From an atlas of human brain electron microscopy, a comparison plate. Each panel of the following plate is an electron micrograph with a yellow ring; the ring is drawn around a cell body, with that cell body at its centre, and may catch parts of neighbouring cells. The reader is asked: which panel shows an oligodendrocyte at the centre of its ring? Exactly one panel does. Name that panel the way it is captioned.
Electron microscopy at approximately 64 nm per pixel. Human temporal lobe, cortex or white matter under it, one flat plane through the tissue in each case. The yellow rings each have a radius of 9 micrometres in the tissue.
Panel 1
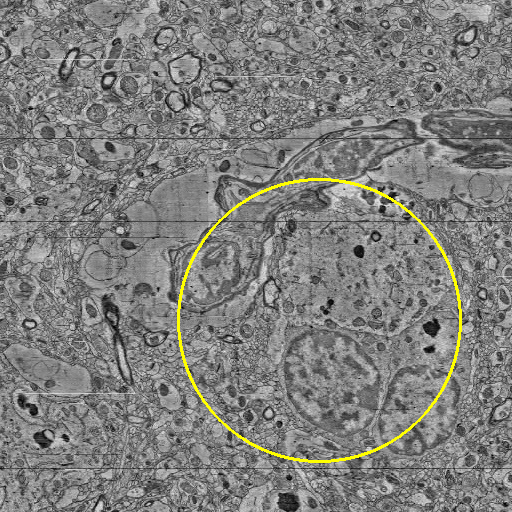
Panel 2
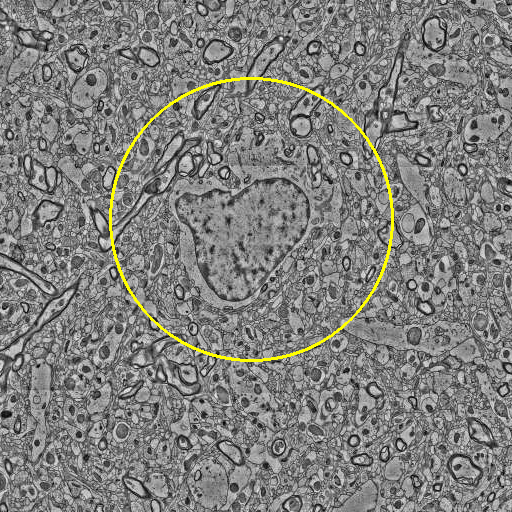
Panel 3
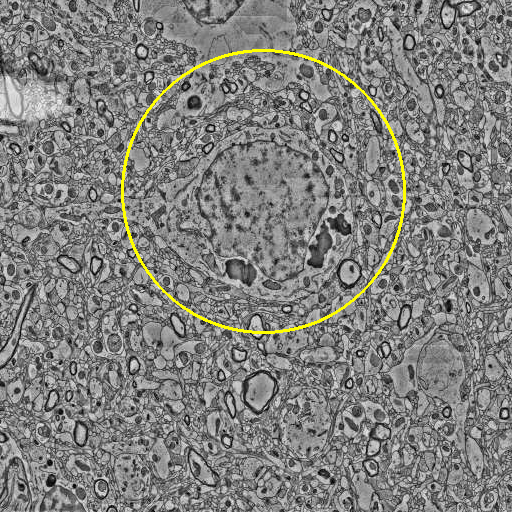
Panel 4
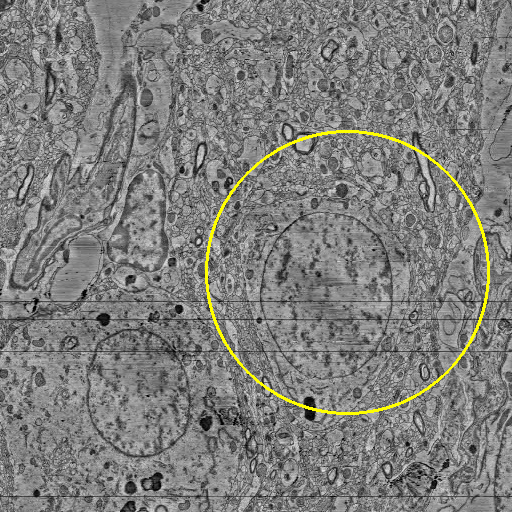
Panel 1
